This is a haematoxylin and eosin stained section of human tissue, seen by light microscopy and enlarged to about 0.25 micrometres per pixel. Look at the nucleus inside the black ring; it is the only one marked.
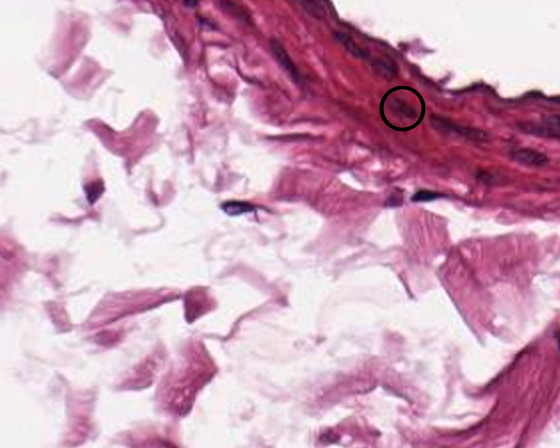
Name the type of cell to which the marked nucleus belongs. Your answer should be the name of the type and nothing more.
smooth muscle cell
